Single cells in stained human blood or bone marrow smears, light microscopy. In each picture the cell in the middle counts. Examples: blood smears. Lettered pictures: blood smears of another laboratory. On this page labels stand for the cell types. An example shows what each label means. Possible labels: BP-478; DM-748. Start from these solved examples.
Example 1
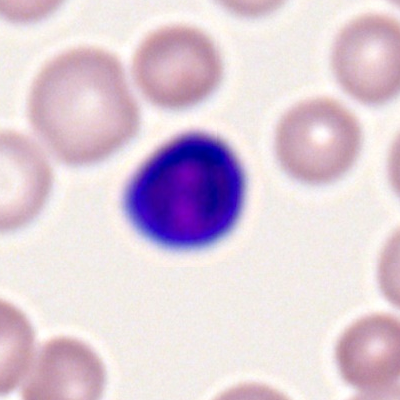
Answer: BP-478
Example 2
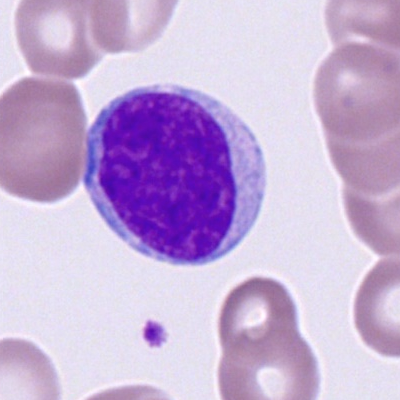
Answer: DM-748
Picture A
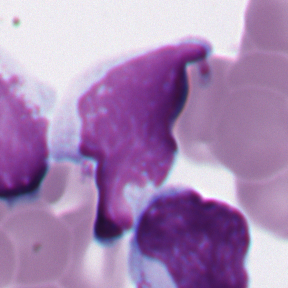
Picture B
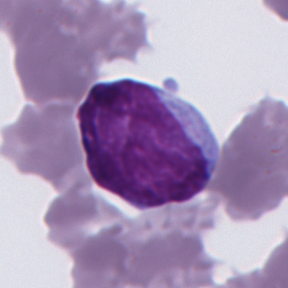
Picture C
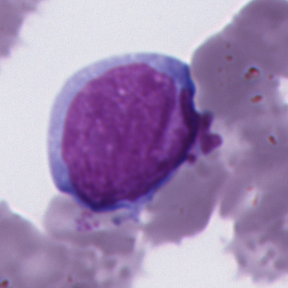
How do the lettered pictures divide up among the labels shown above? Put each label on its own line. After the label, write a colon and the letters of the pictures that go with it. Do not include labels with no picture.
BP-478: A
DM-748: B, C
